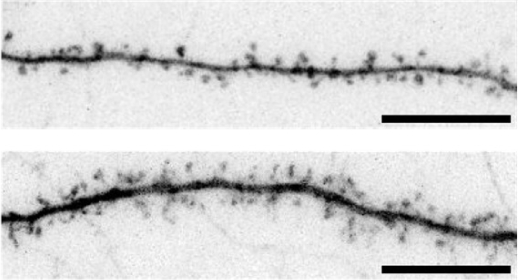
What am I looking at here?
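Along the shaft sit many small protrusions, the dendritic spines, some appearing as short stubs and others with rounded heads. The spines are scattered along both sides of the shaft at irregular intervals.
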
